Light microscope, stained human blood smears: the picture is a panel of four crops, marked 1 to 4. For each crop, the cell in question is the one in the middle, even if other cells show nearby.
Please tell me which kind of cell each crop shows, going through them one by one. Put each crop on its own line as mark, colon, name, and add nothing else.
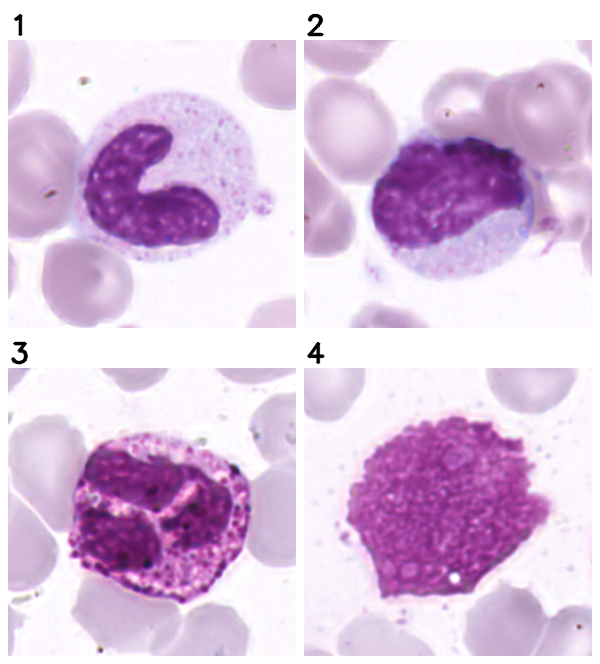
1: band neutrophil
2: metamyelocyte
3: basophil
4: smudge cell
